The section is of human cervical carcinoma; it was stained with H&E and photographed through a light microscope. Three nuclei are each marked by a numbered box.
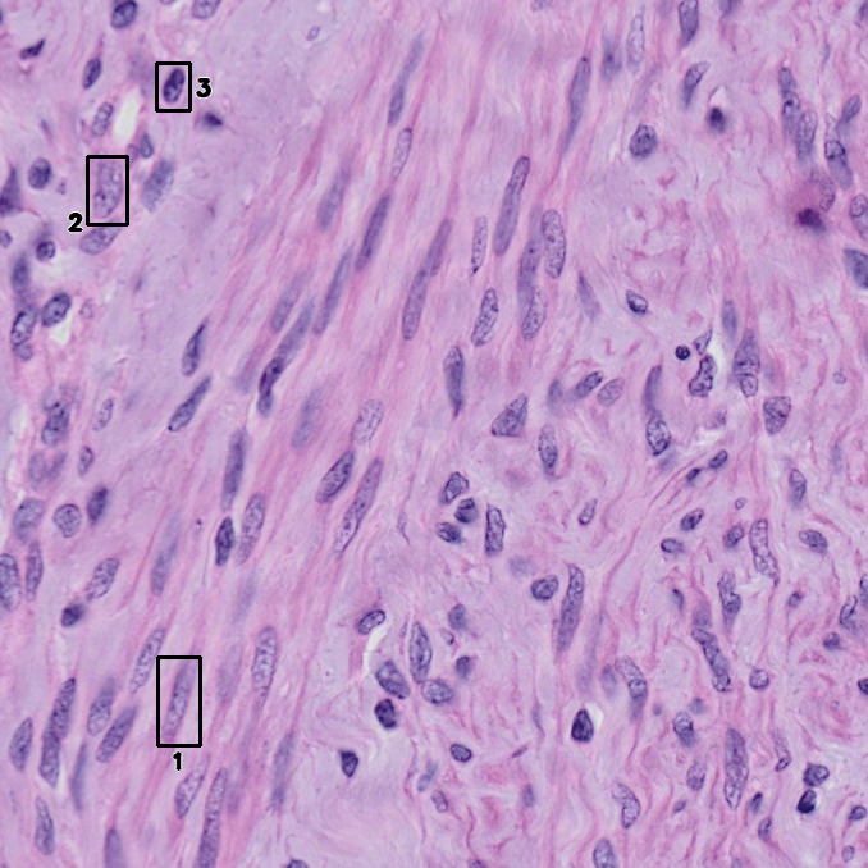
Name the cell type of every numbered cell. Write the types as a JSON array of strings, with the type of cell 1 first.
["smooth muscle cell", "endothelial cell", "lymphocyte"]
